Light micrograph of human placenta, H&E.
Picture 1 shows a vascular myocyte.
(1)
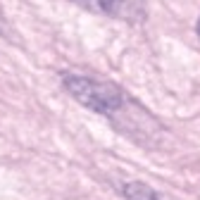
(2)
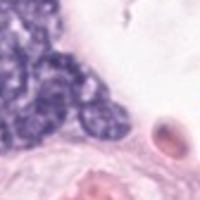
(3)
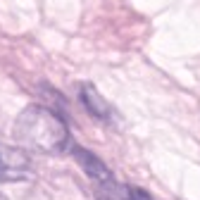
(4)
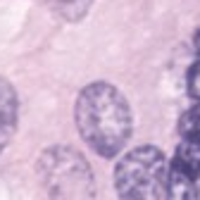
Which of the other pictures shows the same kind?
Picture 3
